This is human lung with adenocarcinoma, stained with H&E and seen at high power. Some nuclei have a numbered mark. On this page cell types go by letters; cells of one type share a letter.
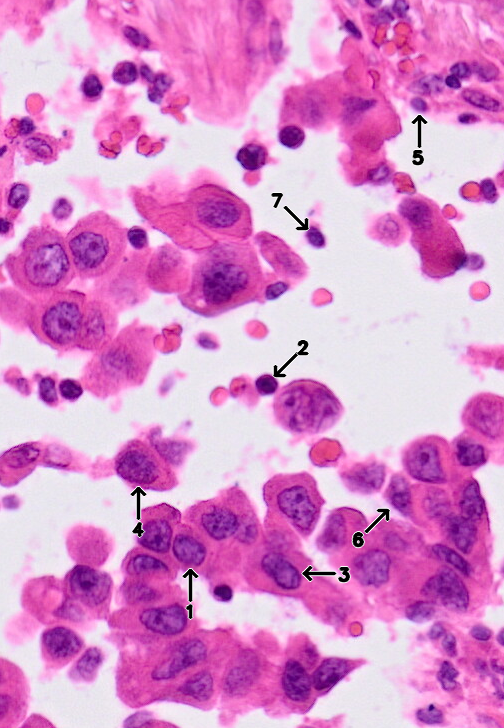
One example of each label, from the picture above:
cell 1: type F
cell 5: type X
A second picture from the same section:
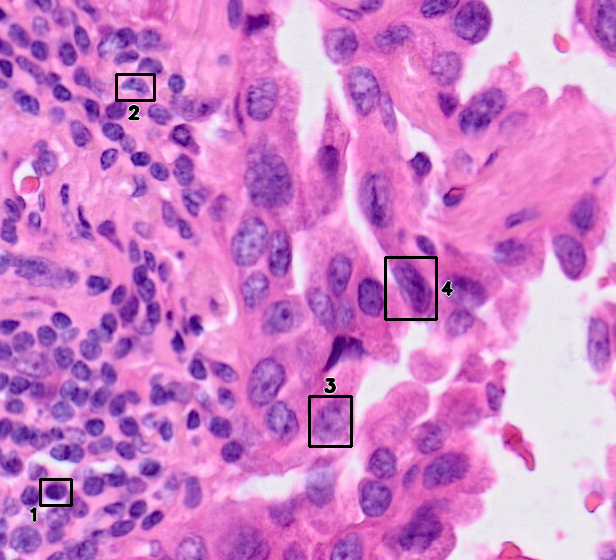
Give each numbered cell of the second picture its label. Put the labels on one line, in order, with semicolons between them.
type X; type X; type F; type F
